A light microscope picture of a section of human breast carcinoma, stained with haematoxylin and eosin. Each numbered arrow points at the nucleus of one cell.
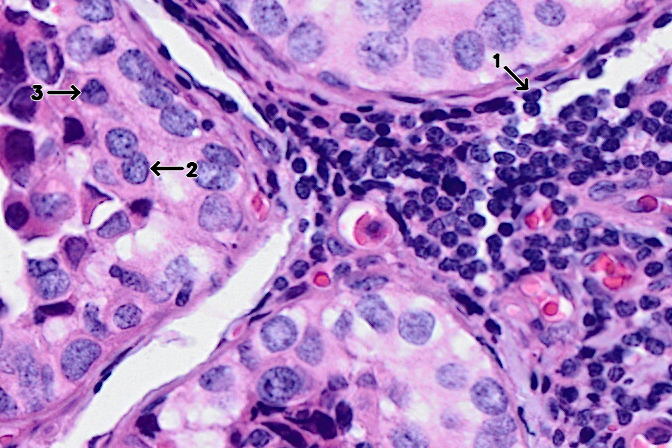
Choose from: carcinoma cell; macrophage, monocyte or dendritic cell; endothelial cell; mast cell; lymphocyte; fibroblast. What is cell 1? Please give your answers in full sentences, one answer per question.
Corresponding to a lymphocyte is the cell labelled 1.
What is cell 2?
Identified as a carcinoma cell is the cell bearing the number 2.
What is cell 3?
Identified as a carcinoma cell is the cell bearing the number 3.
